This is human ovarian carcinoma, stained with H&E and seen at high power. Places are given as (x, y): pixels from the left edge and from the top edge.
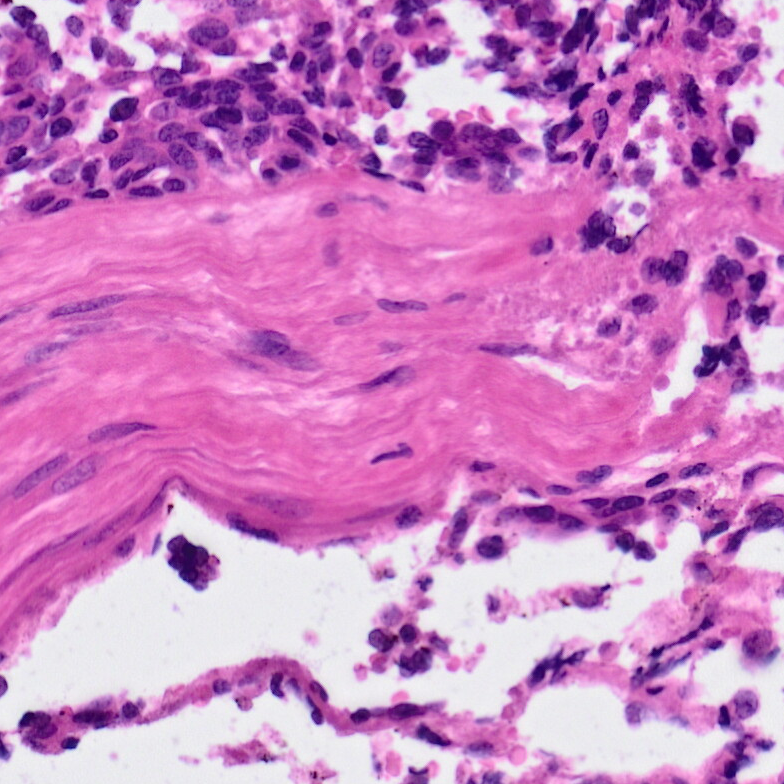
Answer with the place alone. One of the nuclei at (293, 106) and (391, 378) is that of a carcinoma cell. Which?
(293, 106)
